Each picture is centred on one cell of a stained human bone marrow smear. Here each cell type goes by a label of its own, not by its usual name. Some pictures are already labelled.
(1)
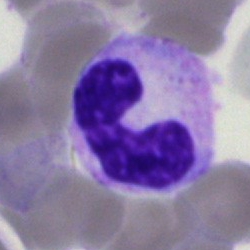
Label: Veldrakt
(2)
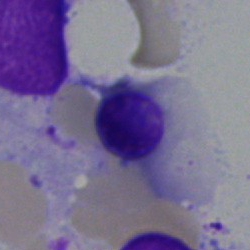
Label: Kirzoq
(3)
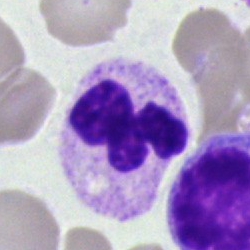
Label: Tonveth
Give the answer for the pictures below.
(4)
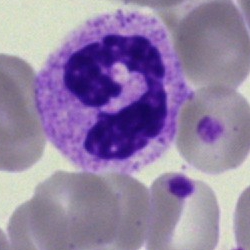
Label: Tonveth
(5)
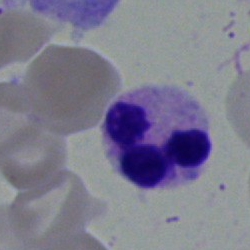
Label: Tonveth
